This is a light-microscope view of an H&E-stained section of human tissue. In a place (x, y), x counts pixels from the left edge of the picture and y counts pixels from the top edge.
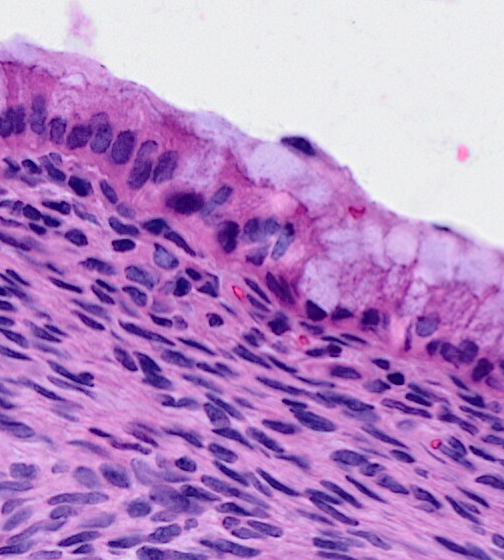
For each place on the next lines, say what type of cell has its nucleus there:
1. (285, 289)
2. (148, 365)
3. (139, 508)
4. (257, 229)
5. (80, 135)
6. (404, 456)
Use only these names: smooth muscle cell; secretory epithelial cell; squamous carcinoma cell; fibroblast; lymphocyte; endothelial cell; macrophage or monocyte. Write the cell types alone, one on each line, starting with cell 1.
secretory epithelial cell
fibroblast
fibroblast
secretory epithelial cell
secretory epithelial cell
fibroblast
